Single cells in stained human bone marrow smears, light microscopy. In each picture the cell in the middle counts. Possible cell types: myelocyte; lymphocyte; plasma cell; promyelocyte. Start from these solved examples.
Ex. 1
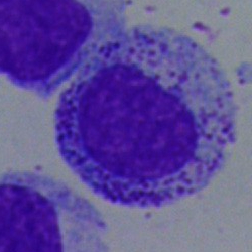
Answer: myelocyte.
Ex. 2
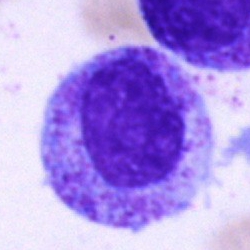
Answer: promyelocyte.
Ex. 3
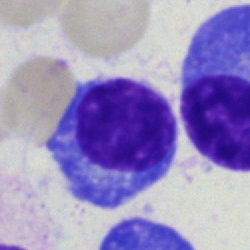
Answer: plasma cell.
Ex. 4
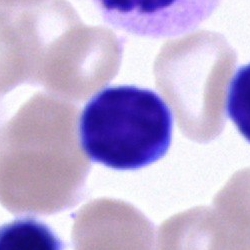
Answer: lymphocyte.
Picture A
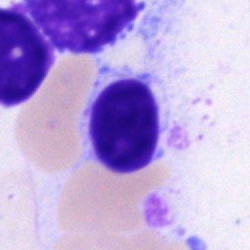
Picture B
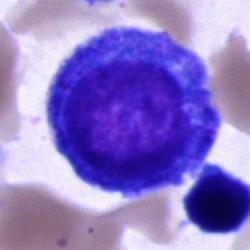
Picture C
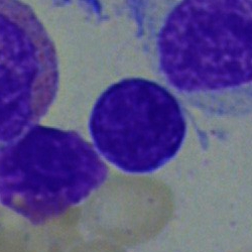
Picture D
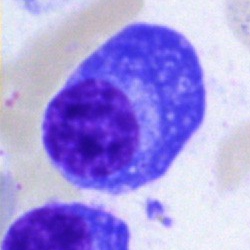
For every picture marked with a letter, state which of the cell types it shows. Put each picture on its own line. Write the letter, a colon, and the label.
A: lymphocyte.
B: promyelocyte.
C: lymphocyte.
D: plasma cell.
